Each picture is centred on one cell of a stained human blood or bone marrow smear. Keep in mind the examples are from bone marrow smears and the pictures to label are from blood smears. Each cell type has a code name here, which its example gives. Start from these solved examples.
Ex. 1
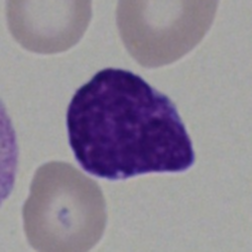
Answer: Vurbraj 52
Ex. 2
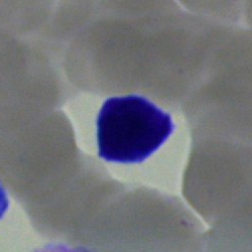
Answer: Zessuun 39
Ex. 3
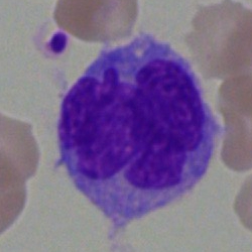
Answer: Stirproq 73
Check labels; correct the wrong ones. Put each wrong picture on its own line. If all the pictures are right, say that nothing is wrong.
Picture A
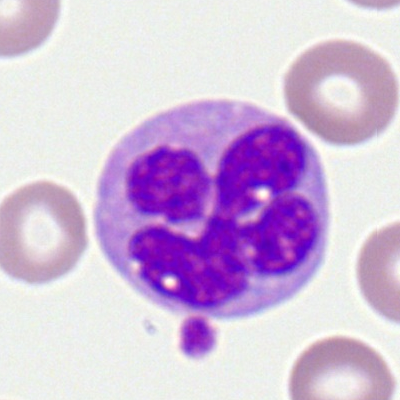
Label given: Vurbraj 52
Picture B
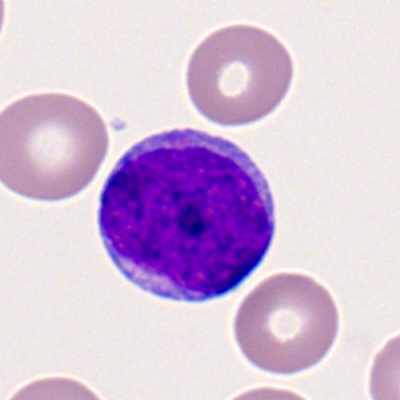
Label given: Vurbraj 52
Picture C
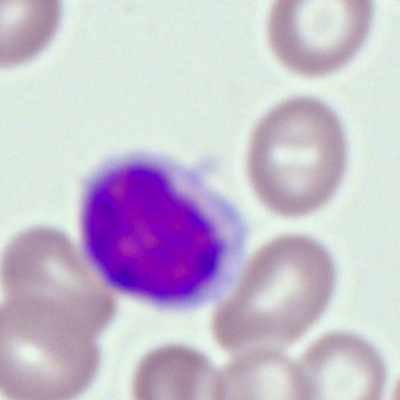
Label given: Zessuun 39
A: change Vurbraj 52 to Stirproq 73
